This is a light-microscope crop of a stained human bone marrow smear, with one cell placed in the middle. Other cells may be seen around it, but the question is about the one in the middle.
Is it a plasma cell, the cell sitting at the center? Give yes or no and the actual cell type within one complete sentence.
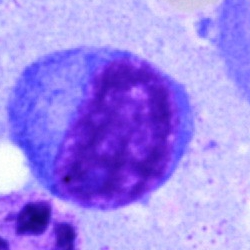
Yes, the cell in the middle of the crop is a plasma cell.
